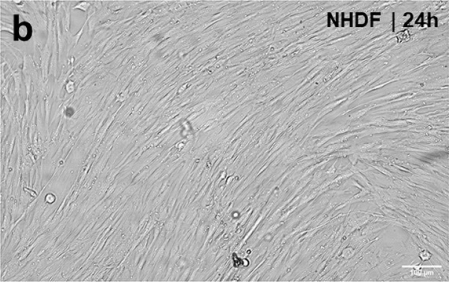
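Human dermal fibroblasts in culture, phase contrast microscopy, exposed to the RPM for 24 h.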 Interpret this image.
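The cells are slender and spindle-shaped, lying in long parallel bundles that run mostly diagonally across the field, with their thin ends overlapping their neighbours. Their outlines are faint against the grey background, giving a streaked look to the sheet. Scattered over the layer are a few small round bright bodies and a darker clump near the lower edge, likely rounded or detached cells and debris, sitting above the flat monolayer.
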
